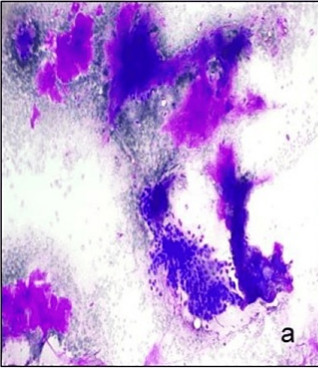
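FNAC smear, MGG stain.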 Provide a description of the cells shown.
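The matrix stains an intense magenta and has soft, fibrillary, feathery edges that fade into the pale background. Clusters of small cells with dark purple nuclei lie embedded in and along the margins of this matrix. Between the clumps, the background is pale, with scattered single small cells.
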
